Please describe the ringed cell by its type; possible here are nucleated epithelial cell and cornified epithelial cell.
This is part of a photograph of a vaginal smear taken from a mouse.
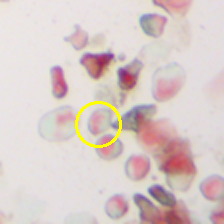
The yellow ring marks a nucleated epithelial cell.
